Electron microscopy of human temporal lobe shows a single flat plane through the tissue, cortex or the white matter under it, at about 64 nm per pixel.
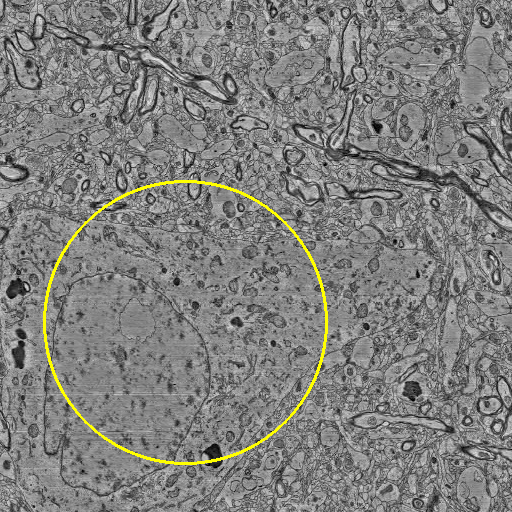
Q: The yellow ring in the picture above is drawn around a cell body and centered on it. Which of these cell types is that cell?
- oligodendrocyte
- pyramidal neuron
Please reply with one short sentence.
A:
The cell body at the ring's center belongs to a pyramidal neuron.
